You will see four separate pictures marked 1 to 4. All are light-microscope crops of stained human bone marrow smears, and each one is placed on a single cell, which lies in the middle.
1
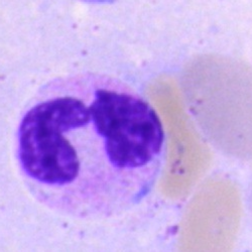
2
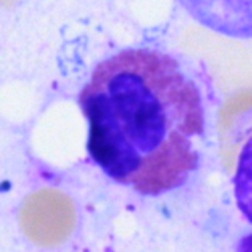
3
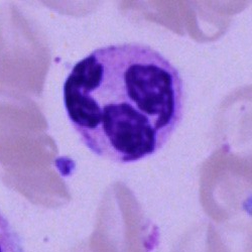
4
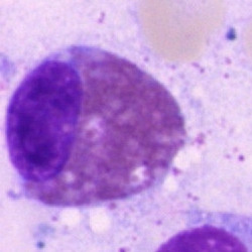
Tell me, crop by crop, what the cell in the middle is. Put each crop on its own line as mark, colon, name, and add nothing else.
1: segmented neutrophil
2: eosinophil
3: segmented neutrophil
4: eosinophil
